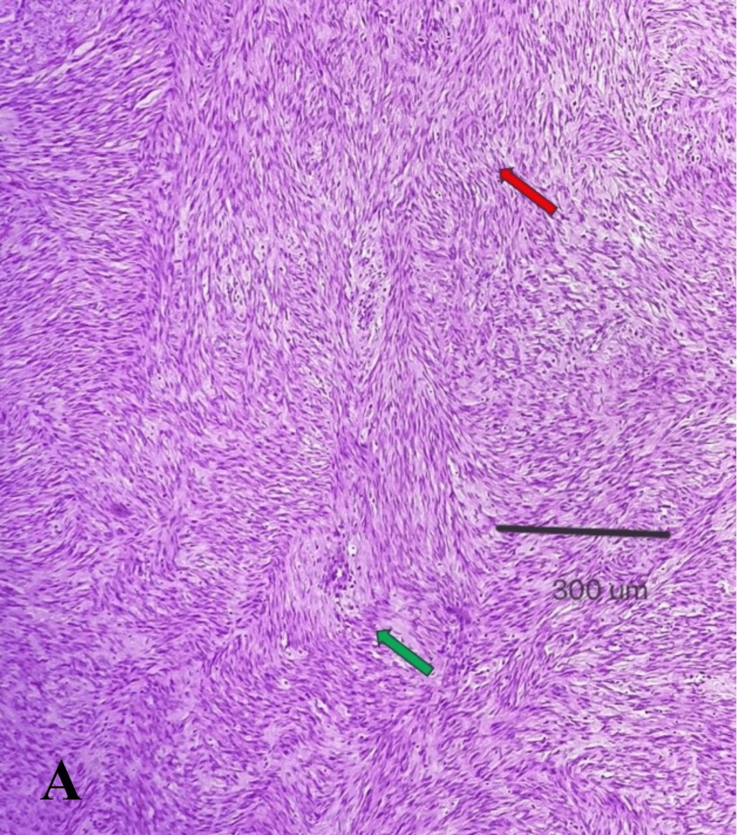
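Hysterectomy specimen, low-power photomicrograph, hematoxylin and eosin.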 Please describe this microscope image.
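This is a benign smooth muscle tumour made of densely packed spindle cells arranged in interlacing fascicles. The cells have elongated, cigar-like nuclei that stain purple-blue and are fairly uniform, without obvious atypia, and pale pink, ill-defined cytoplasm that merges into long bundles. The bundles run in different directions and cross one another, and in places groups of cells lie at right angles to neighbouring groups, giving a whorled pattern. Cellularity is high and even throughout the field, with only scattered small vessels and no necrosis or large empty spaces visible.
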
